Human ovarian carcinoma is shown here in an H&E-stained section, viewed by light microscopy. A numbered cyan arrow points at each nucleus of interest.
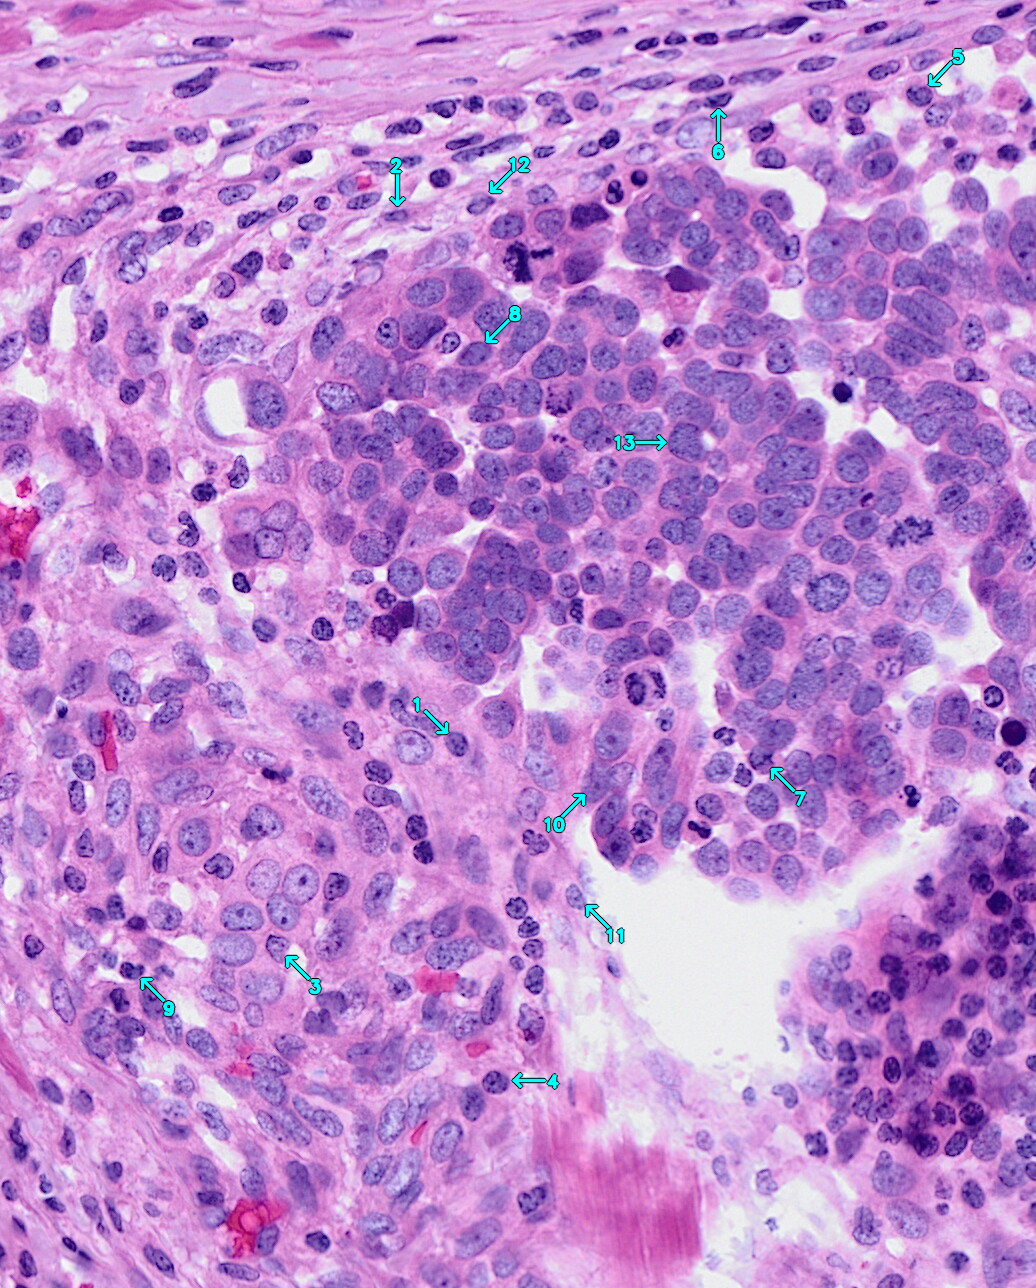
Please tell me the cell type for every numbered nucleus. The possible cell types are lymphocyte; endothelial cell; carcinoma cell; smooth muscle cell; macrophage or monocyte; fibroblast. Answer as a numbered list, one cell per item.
1. lymphocyte
2. macrophage or monocyte
3. macrophage or monocyte
4. lymphocyte
5. macrophage or monocyte
6. lymphocyte
7. macrophage or monocyte
8. carcinoma cell
9. lymphocyte
10. carcinoma cell
11. macrophage or monocyte
12. macrophage or monocyte
13. carcinoma cell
